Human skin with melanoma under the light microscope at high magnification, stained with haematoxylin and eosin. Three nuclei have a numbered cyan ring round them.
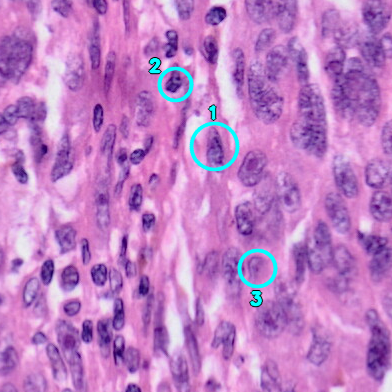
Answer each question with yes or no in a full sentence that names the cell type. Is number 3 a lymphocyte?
No, the cell carrying number 3 is a melanoma cell, not a lymphocyte.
